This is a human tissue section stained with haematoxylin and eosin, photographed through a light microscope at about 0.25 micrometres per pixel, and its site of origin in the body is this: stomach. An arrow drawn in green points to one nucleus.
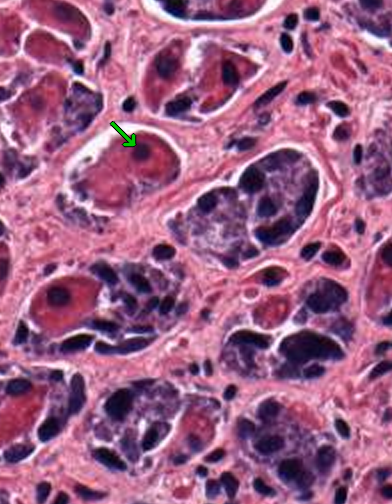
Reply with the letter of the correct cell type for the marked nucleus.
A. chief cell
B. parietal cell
B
